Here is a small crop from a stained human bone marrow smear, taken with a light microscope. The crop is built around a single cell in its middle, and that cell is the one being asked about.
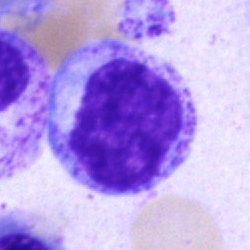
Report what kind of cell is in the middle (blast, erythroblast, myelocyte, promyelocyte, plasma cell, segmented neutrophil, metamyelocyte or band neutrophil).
myelocyte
